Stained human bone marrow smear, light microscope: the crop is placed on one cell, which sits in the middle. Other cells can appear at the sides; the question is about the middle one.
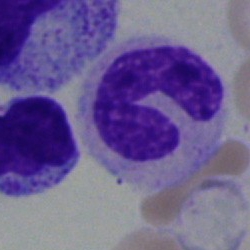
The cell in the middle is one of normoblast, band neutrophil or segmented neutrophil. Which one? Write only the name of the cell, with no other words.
band neutrophil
